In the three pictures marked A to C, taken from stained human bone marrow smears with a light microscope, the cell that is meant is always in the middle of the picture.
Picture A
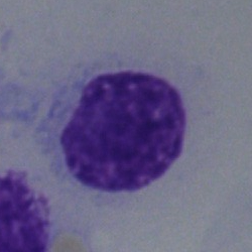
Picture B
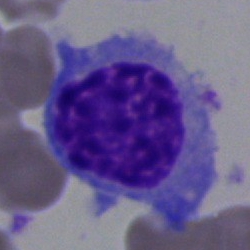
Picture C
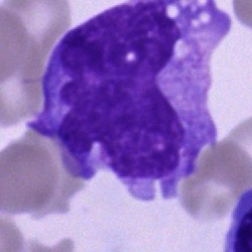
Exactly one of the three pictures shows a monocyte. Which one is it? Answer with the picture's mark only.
C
